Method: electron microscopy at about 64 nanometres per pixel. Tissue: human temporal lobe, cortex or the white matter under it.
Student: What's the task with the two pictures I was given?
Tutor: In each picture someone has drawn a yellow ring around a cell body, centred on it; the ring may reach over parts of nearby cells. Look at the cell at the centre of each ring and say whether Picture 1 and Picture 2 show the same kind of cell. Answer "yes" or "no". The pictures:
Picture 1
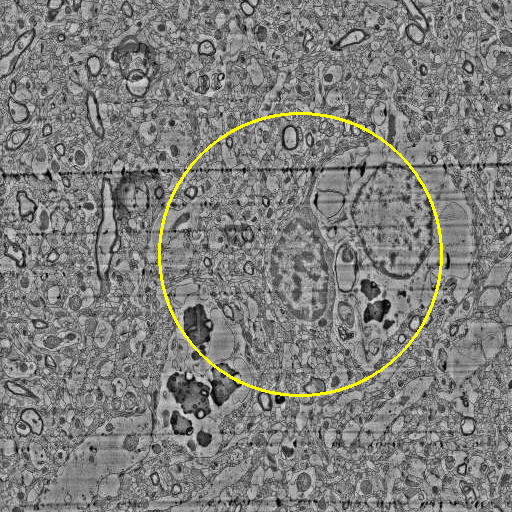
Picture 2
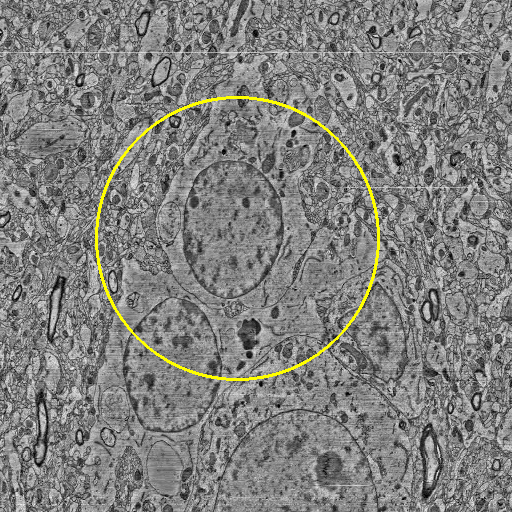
no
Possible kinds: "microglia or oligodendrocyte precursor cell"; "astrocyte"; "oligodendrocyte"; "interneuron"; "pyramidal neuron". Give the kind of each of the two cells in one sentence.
The cell in the second picture is an astrocyte, and that in the first is an oligodendrocyte.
